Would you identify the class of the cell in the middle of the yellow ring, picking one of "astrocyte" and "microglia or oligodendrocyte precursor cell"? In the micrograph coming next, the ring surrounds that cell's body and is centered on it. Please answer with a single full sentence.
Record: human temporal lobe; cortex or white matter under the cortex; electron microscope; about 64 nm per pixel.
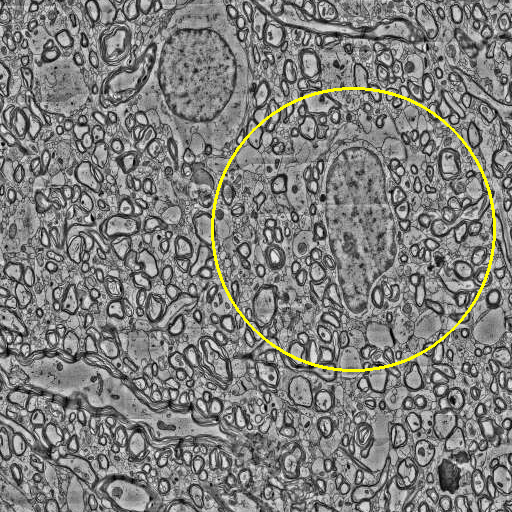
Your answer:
In the micrograph, it is a microglial cell or oligodendrocyte precursor cell whose body lies at the ring's center.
